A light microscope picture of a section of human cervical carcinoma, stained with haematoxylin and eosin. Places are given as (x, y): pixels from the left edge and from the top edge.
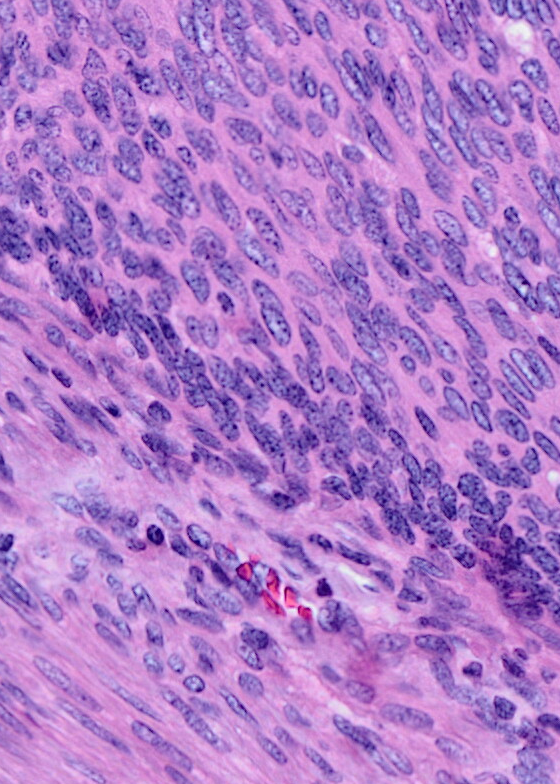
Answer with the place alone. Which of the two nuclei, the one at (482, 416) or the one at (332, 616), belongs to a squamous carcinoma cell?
(482, 416)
